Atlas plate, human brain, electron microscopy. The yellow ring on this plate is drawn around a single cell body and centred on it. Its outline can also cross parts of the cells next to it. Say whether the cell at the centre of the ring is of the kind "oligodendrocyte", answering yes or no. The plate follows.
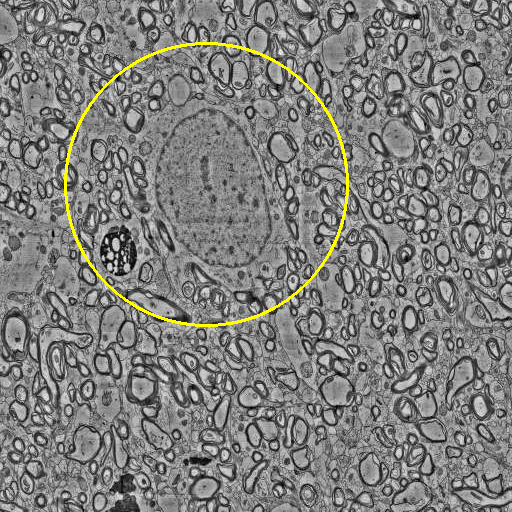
No, the cell is of another kind.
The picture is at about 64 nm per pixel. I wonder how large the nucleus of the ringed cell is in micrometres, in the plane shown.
The nucleus works out at approximately 10 by 7 micrometres in this plane.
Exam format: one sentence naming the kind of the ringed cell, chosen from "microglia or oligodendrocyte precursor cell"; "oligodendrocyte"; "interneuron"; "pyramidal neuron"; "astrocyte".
As it turns out, the cell at the ring centre is an astrocyte.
